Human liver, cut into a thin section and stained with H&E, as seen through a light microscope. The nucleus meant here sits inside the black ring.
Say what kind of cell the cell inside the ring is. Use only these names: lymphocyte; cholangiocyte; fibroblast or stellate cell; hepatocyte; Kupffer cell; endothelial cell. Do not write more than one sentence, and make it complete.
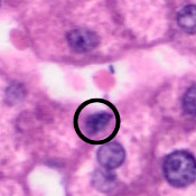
As far as its identity is concerned, the cell inside the ring is a fibroblast or stellate cell.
